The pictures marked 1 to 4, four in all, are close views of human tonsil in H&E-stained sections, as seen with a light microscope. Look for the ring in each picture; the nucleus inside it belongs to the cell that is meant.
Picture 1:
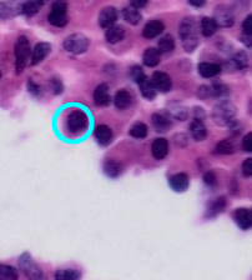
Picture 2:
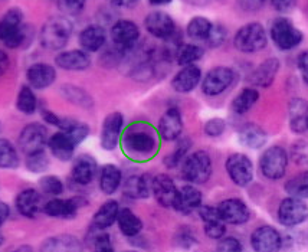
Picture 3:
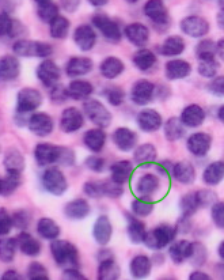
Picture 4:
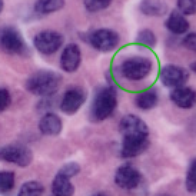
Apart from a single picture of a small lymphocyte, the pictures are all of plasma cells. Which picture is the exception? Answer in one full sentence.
It is picture 3 that shows the small lymphocyte.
